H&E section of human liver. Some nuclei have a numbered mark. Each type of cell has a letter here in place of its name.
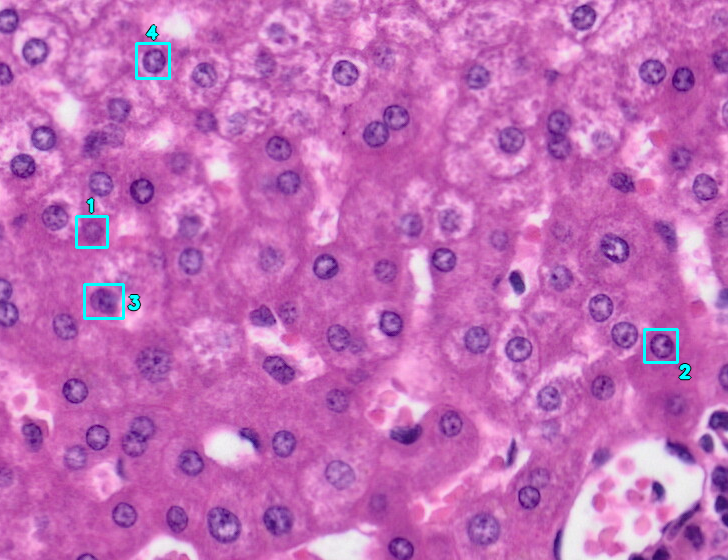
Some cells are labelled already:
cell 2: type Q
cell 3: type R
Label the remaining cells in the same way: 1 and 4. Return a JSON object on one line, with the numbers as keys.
{"1": "type Q", "4": "type Q"}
